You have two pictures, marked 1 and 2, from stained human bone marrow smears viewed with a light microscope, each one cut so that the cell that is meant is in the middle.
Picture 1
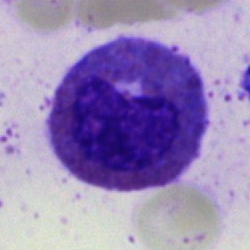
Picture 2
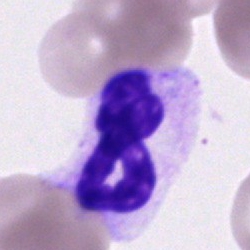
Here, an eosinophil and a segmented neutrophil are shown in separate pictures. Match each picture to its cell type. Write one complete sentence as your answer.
Picture 2 shows a segmented neutrophil, while picture 1 shows an eosinophil.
